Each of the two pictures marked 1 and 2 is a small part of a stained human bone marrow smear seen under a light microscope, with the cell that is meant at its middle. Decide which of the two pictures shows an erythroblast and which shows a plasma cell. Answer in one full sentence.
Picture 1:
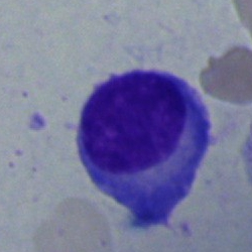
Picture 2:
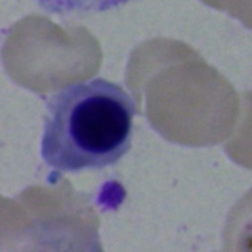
Picture 1 shows a plasma cell and picture 2 shows an erythroblast.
